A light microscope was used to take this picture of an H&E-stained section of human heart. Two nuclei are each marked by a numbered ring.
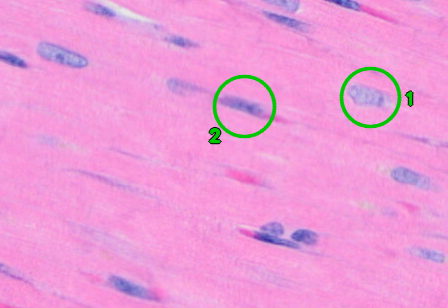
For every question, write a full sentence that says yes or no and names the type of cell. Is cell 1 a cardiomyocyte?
Yes, cell 1 is a cardiomyocyte in this tissue section.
